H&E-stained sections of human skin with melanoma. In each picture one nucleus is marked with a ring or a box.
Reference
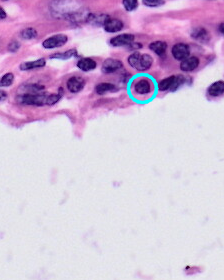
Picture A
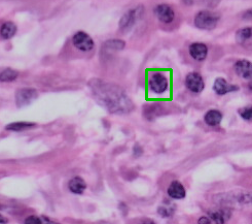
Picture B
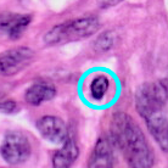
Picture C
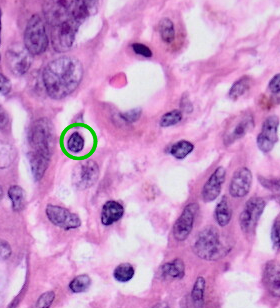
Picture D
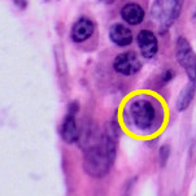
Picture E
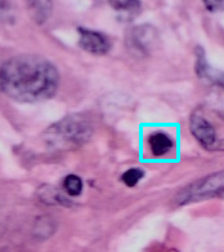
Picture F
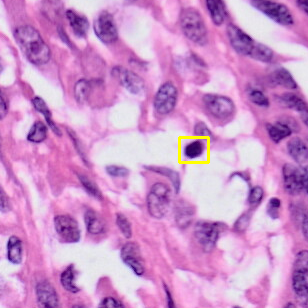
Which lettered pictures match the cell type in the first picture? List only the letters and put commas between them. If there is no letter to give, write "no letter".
A, D, E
